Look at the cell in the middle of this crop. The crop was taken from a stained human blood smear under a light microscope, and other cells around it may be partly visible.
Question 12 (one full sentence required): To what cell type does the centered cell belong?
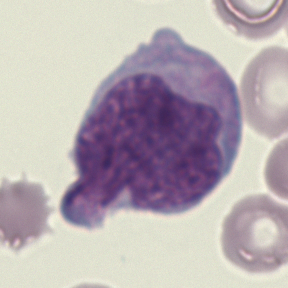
The middle of this crop is occupied by an atypical promyelocyte.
